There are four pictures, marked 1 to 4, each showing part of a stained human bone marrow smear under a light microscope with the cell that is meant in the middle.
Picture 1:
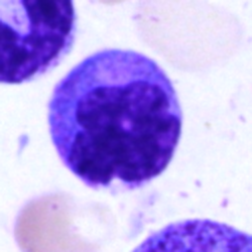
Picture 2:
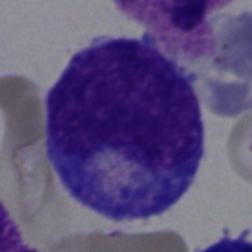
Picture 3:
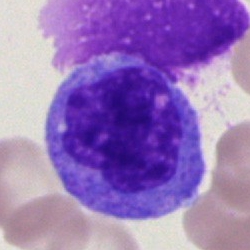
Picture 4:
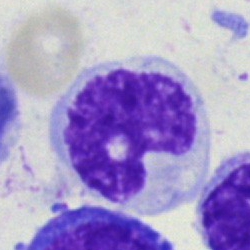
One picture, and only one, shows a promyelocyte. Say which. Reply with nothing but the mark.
2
